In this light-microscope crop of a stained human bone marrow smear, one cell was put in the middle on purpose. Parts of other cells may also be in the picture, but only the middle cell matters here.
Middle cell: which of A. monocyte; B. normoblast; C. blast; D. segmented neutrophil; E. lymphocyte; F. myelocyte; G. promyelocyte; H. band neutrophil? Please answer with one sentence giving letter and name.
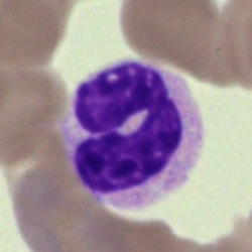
In the middle of the crop is a segmented neutrophil; option D is therefore correct.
